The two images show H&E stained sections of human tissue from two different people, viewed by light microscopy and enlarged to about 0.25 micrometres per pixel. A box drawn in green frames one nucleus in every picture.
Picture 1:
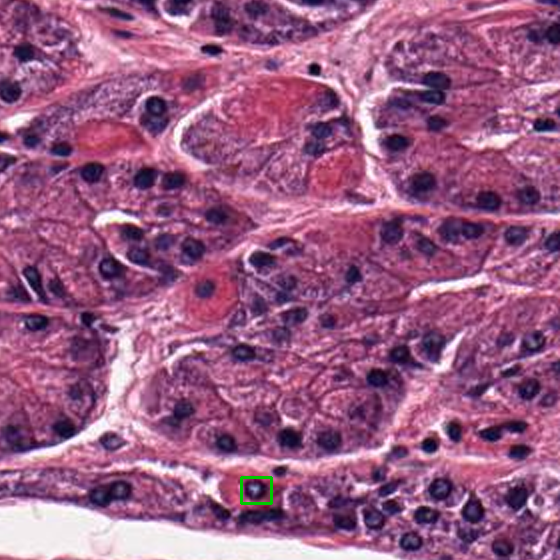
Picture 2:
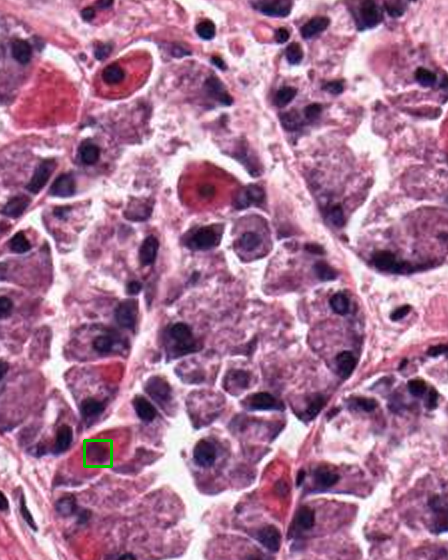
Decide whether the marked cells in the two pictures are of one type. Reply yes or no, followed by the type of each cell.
Yes, both are parietal cells.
